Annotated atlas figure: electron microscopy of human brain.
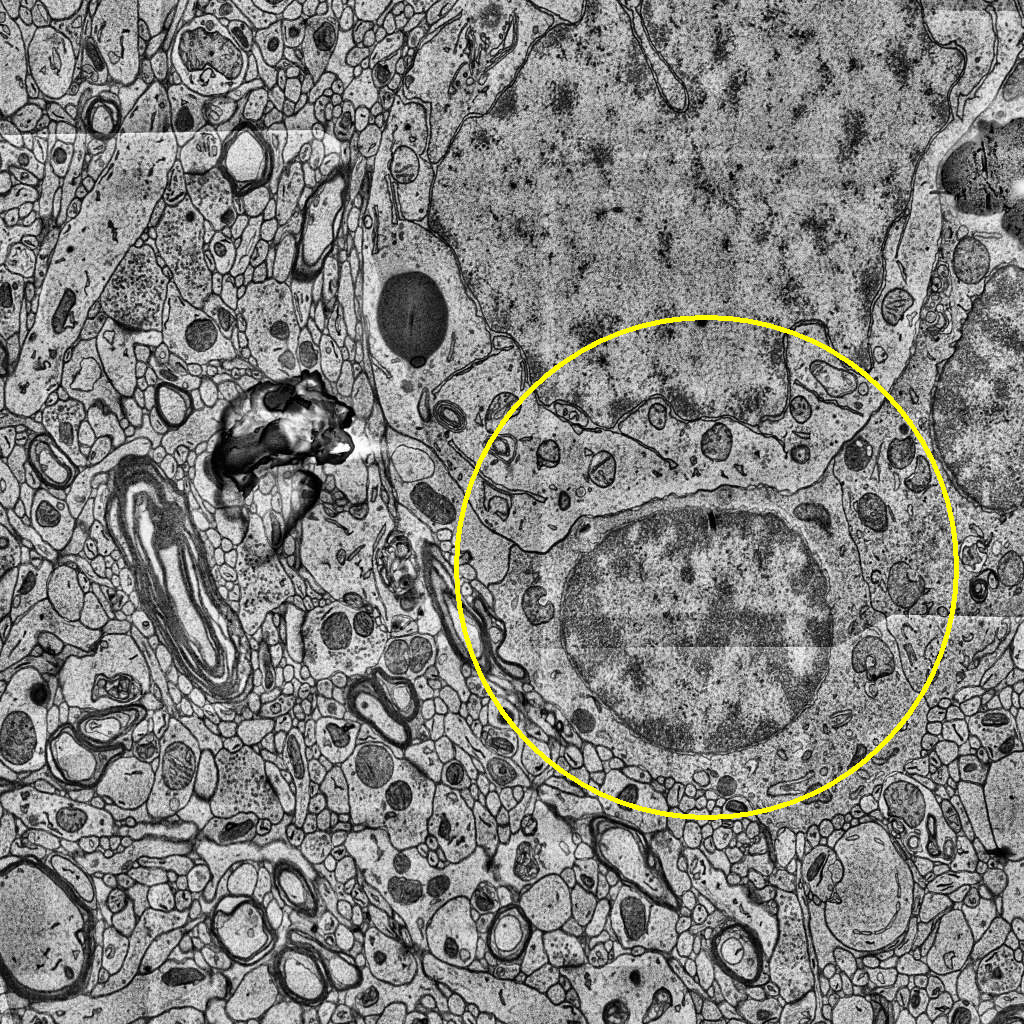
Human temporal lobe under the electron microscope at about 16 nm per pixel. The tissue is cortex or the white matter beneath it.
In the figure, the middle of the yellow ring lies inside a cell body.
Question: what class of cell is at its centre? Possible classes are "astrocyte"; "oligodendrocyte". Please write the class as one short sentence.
The yellow ring's centre lies in an oligodendrocyte.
